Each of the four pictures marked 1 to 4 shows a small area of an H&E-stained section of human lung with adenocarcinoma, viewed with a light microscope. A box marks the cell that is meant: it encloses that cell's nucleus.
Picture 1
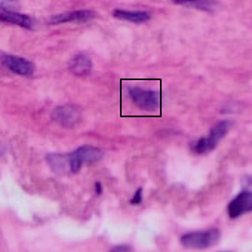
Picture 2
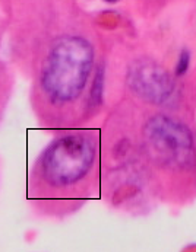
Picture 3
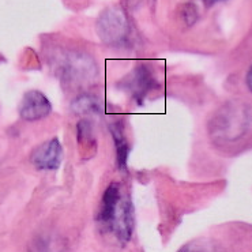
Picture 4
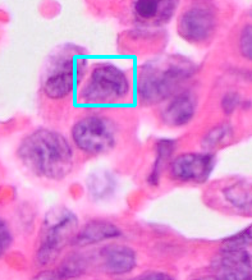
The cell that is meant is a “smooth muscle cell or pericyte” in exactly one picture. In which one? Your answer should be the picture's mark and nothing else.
1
